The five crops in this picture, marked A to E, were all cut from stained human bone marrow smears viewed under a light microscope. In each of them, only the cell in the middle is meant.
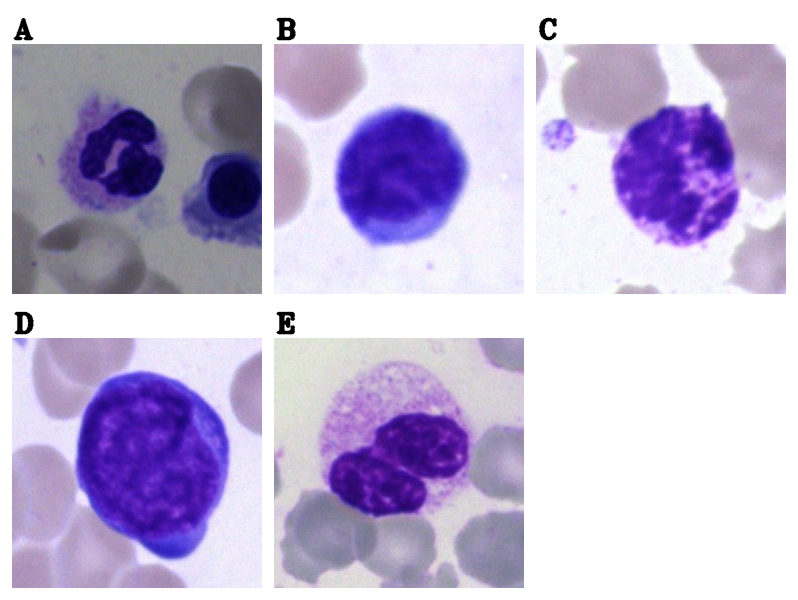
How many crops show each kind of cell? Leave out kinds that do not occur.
segmented neutrophil: 2
blast: 2
basophil: 1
